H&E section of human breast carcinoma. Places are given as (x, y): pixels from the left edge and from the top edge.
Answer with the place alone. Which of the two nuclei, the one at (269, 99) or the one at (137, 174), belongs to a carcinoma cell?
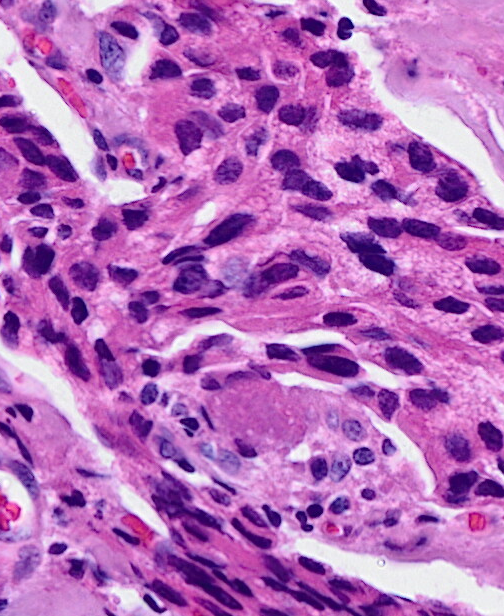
(269, 99)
